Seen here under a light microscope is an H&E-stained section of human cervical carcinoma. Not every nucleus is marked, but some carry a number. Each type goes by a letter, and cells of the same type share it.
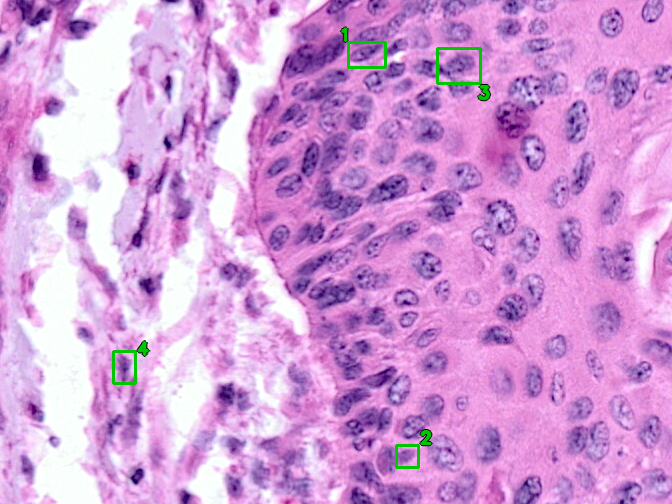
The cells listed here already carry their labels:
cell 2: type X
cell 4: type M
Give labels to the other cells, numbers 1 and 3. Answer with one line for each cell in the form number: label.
1: type X
3: type X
